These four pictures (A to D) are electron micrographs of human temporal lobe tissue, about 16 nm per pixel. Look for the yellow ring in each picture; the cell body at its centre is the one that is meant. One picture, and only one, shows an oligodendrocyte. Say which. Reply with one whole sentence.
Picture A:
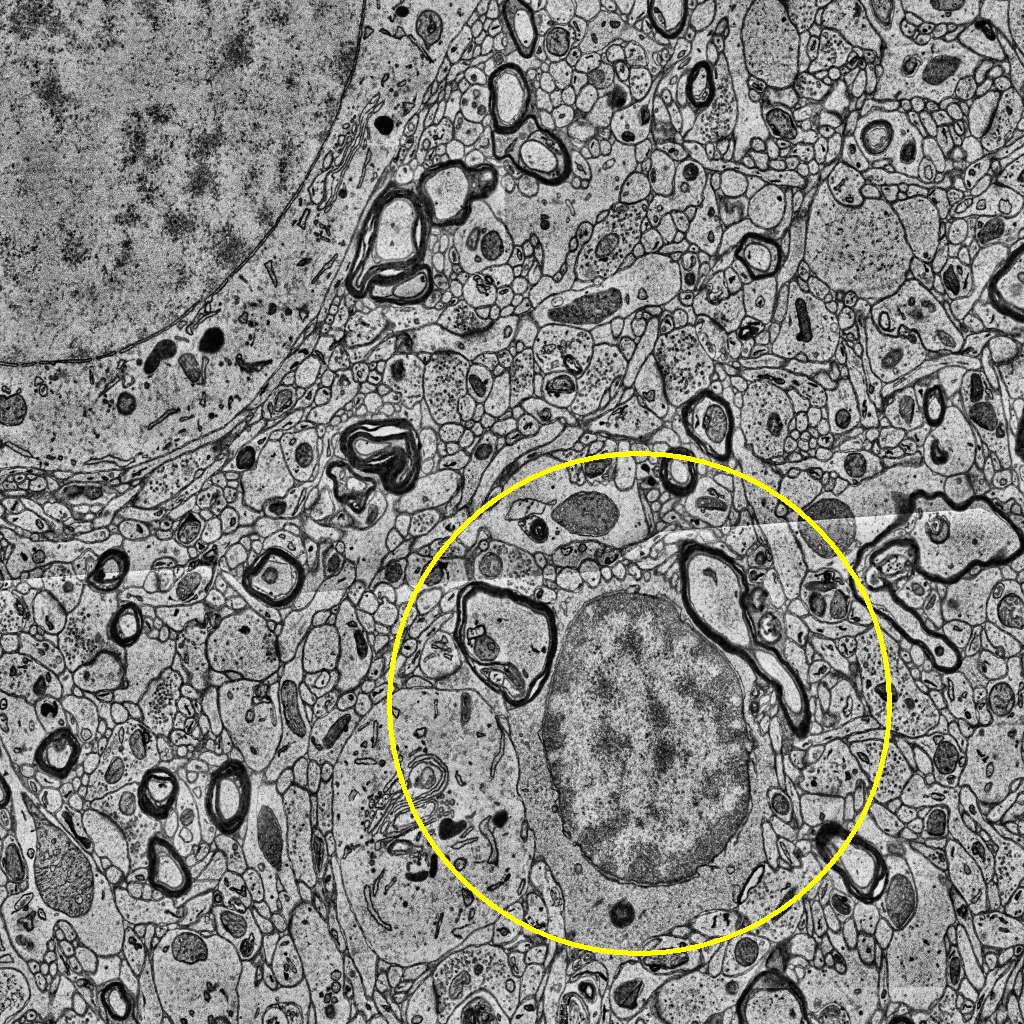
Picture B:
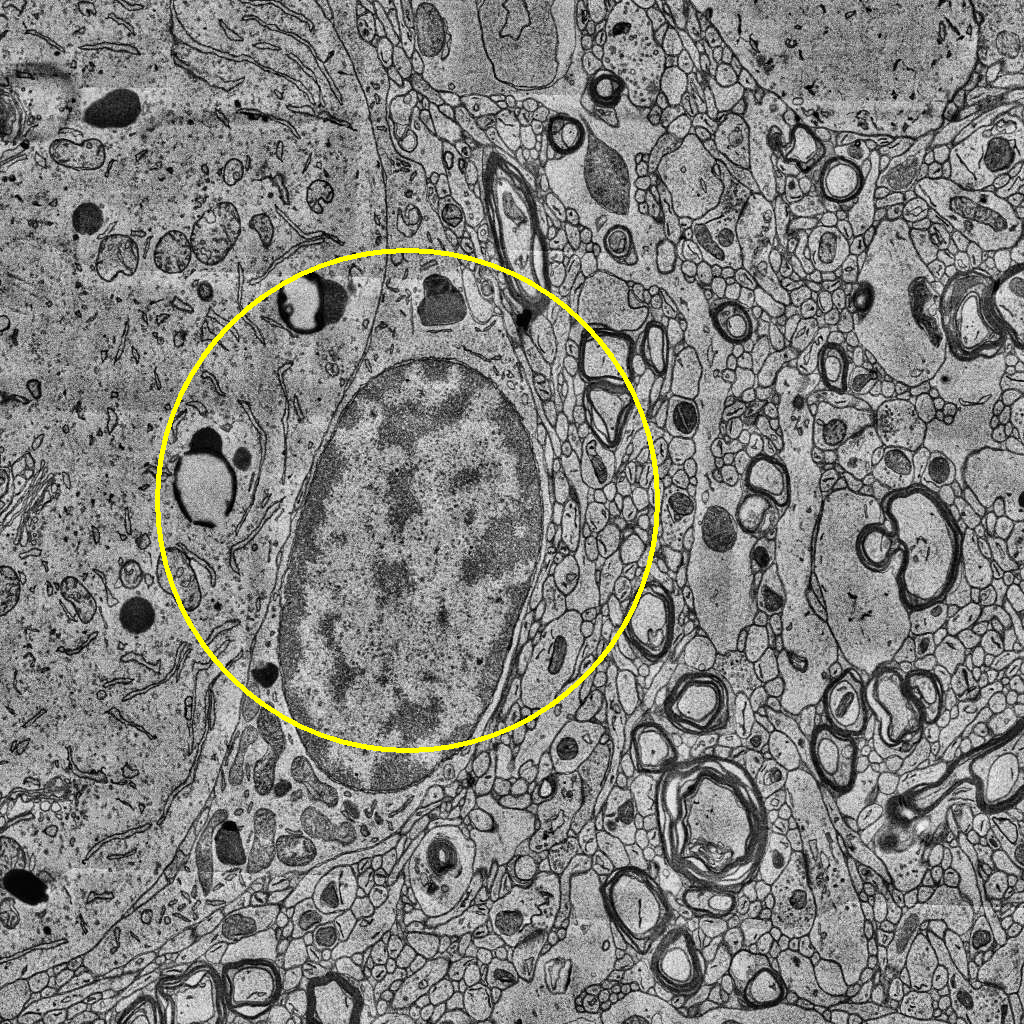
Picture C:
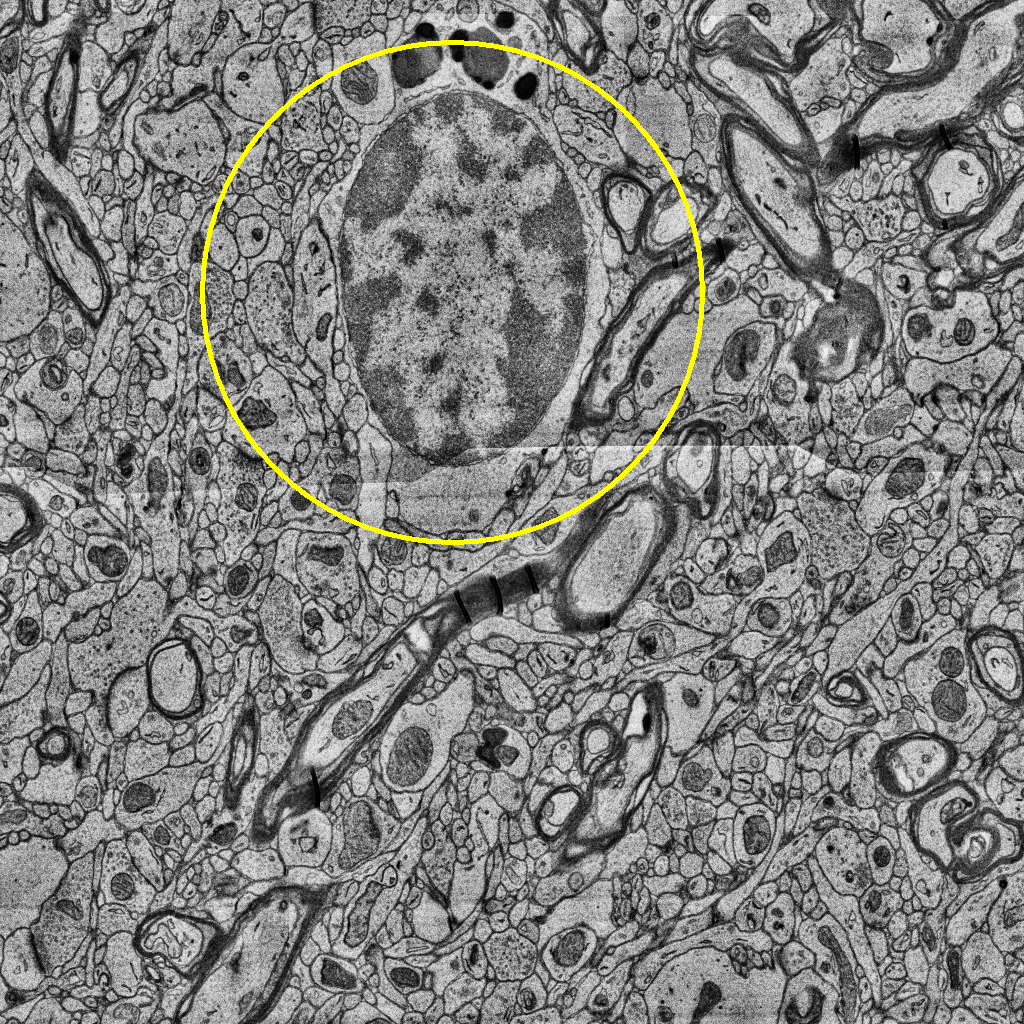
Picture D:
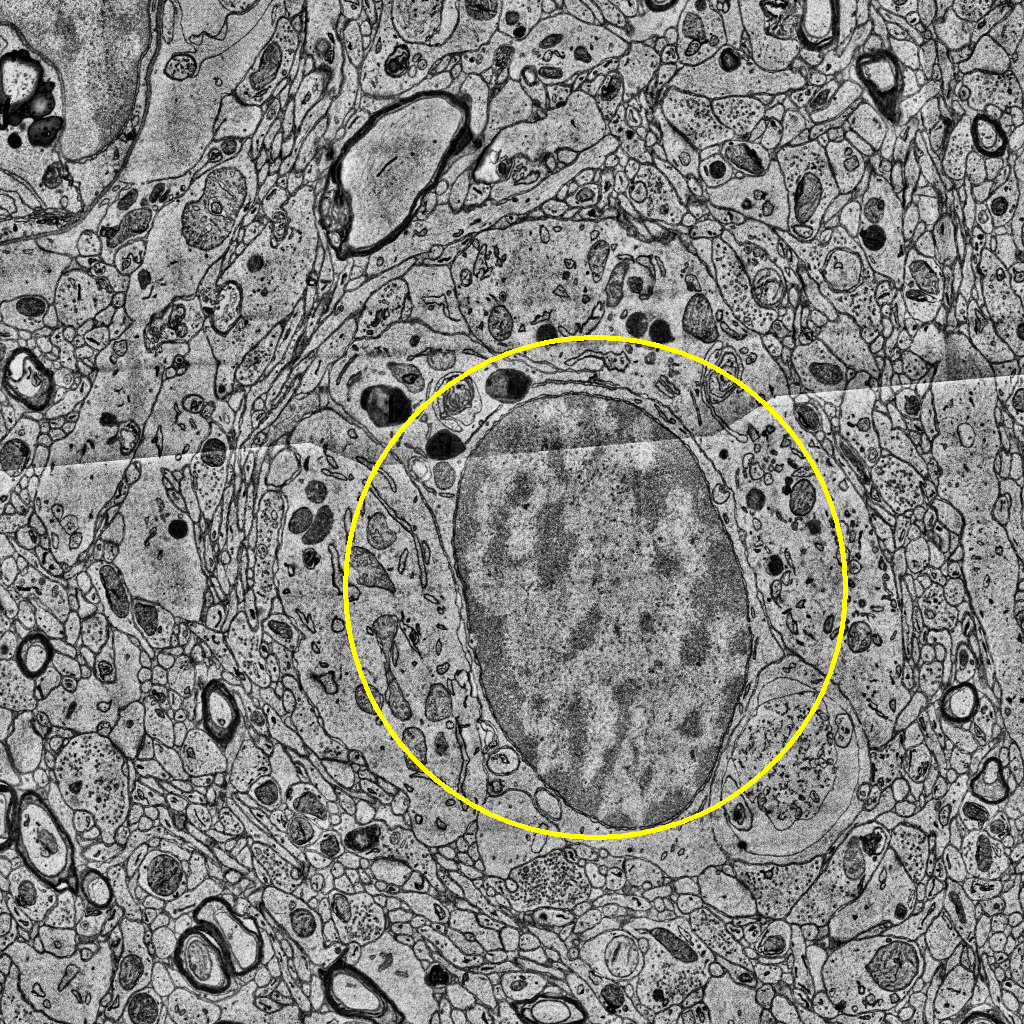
The cell in picture A is the oligodendrocyte.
